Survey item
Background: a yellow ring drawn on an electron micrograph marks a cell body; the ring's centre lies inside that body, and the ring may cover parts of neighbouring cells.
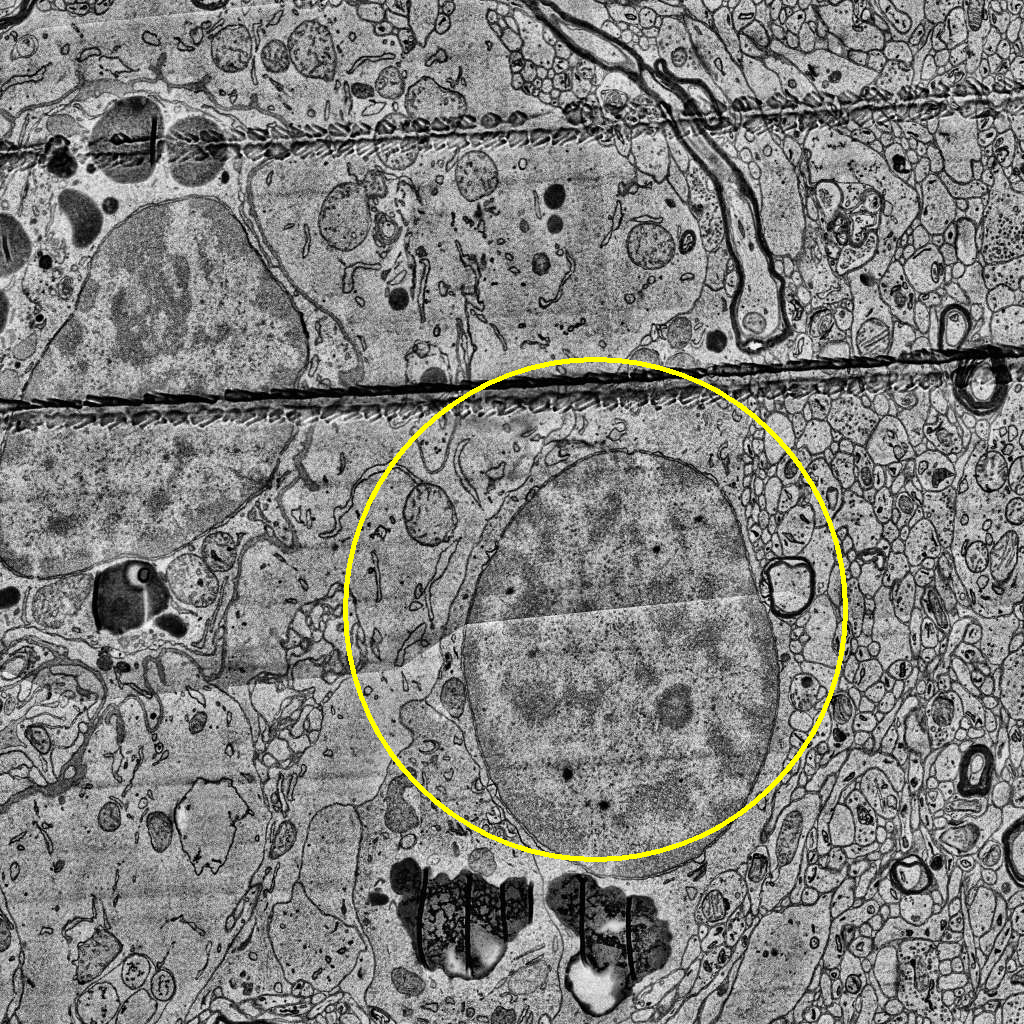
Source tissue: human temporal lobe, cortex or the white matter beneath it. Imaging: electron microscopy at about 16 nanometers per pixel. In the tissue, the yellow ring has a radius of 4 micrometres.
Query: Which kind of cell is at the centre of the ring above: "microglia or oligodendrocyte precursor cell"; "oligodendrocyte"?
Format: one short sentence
The cell in the middle of the ring is an oligodendrocyte.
